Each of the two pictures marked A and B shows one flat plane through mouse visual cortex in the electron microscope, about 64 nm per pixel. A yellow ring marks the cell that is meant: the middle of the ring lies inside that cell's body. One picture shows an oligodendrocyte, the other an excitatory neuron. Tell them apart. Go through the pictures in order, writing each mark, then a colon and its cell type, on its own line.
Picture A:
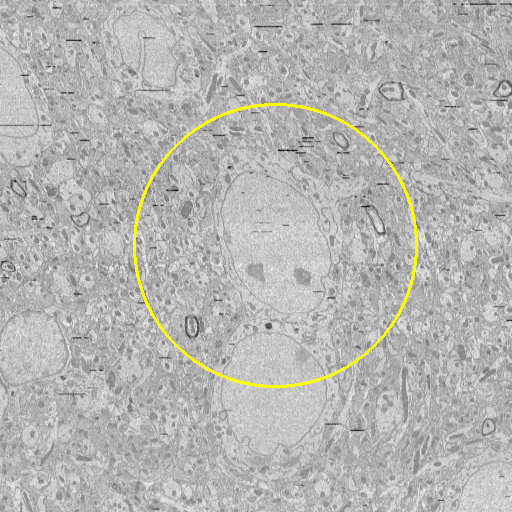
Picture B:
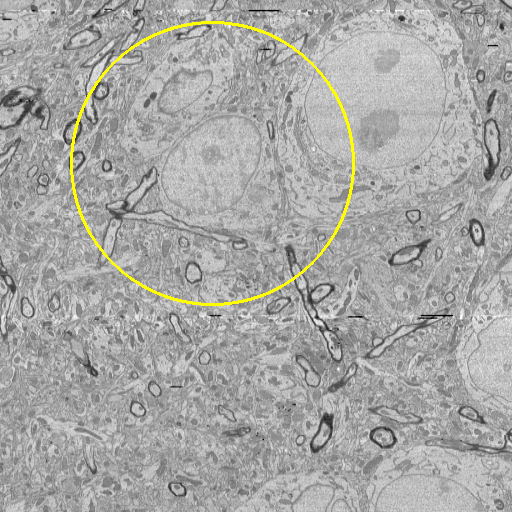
A: excitatory neuron
B: oligodendrocyte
